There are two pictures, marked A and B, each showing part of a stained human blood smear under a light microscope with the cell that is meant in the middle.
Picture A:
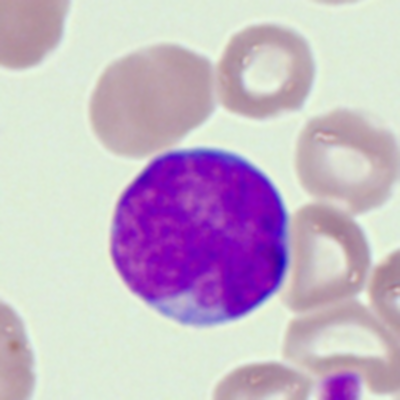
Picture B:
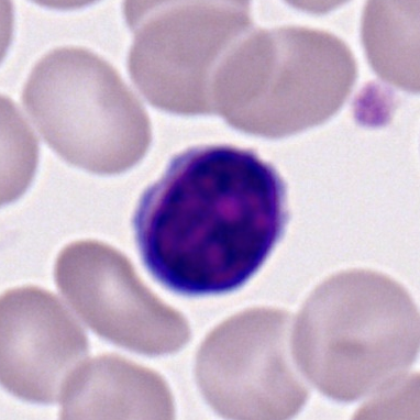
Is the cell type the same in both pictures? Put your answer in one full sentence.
No. Picture A shows a myeloblast, but picture B shows a lymphocyte.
